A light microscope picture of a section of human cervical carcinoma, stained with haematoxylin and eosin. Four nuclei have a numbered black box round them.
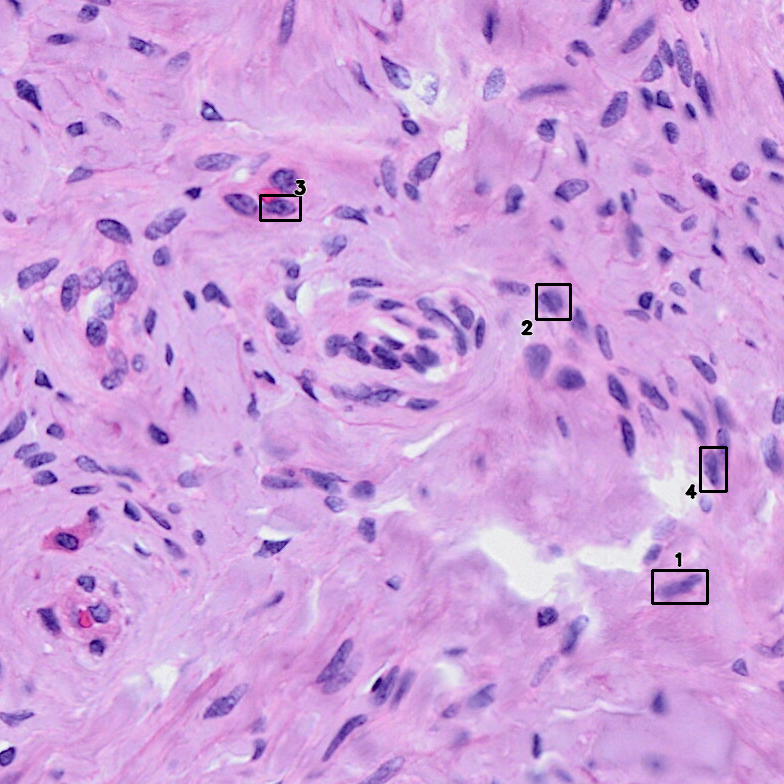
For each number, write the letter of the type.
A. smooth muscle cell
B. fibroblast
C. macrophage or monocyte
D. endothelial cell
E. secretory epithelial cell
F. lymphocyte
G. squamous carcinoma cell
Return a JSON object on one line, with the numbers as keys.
{"1": "B", "2": "B", "3": "D", "4": "B"}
